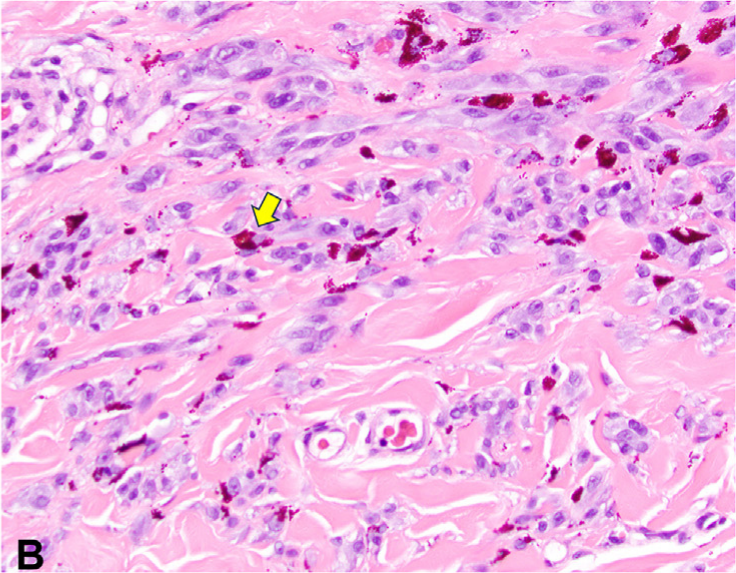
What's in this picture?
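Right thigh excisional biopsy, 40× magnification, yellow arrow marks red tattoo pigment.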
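This is dermis with a proliferation of melanocytic cells that have spitzoid and sclerosing features. The cells are plump and epithelioid to short spindled, with abundant pale violet cytoplasm and oval, vesicular nuclei, some showing small nucleoli. They lie in small nests, cords and single strands wedged between thick, glassy pink collagen bundles. A few small blood vessels with red cells in their lumens sit among the collagen.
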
